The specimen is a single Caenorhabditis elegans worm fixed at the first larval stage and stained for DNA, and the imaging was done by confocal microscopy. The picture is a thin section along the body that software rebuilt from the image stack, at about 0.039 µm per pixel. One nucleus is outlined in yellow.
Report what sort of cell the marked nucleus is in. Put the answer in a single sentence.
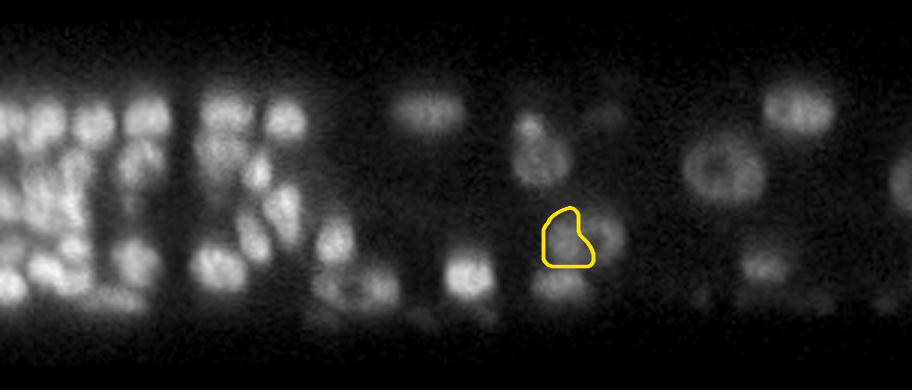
The cell with the marked nucleus is an intestinal cell.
